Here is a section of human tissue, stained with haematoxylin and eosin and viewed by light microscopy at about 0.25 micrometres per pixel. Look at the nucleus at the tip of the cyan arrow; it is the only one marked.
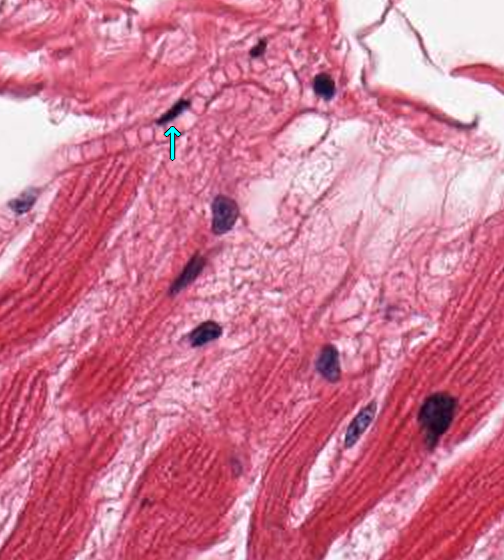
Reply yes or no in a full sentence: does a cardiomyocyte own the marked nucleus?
No, the marked nucleus forms part of a supporting cell instead of a cardiomyocyte.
